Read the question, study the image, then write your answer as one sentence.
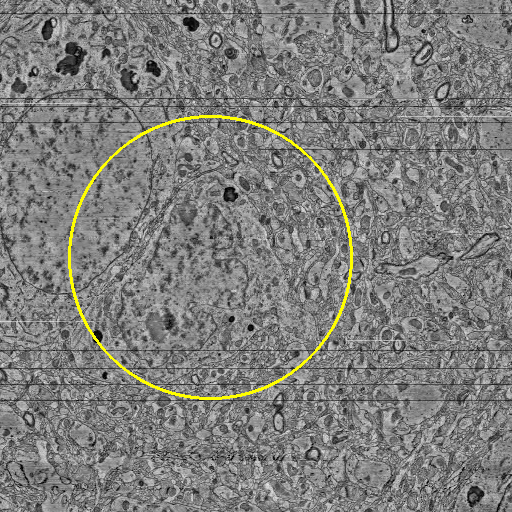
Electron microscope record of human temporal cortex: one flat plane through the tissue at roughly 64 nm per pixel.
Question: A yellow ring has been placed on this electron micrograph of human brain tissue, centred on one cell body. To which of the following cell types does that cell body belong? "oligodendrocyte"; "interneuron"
That cell body belongs to an interneuron.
